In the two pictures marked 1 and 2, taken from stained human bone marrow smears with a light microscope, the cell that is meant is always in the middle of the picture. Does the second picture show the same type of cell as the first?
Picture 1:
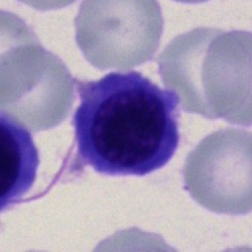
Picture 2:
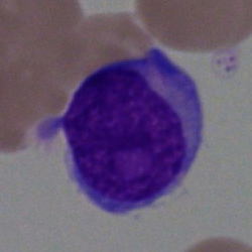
no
